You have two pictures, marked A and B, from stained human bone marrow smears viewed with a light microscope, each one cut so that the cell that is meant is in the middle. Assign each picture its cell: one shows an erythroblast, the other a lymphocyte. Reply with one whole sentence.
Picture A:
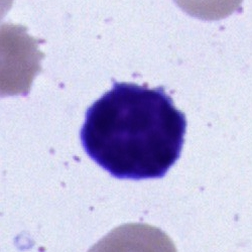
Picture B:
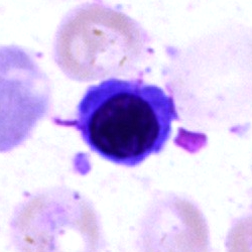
It is picture A that shows a lymphocyte, and picture B that shows an erythroblast.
